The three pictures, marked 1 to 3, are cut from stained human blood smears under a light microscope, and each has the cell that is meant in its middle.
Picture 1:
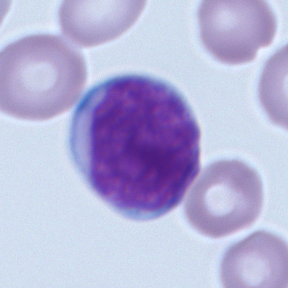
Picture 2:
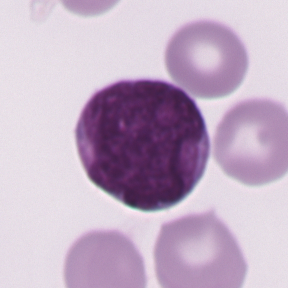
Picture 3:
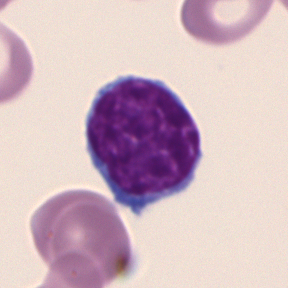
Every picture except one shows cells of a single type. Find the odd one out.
3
